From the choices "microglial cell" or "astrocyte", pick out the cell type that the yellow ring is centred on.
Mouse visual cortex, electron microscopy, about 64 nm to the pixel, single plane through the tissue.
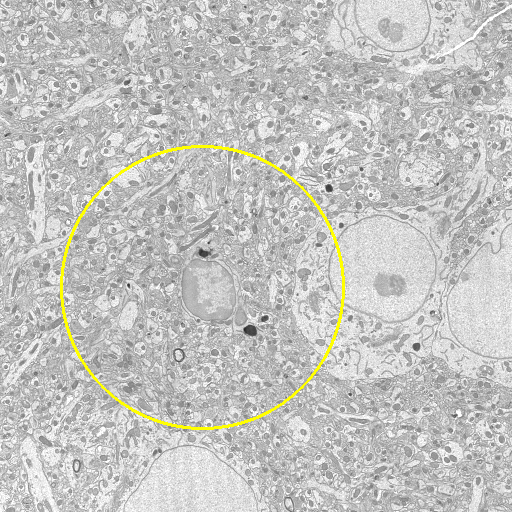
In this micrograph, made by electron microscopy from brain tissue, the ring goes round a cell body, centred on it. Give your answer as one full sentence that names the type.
The yellow ring is centred on a microglial cell, whose cell body it encircles in the picture.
